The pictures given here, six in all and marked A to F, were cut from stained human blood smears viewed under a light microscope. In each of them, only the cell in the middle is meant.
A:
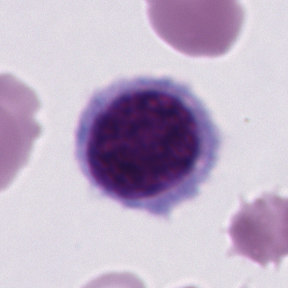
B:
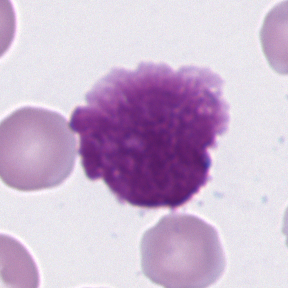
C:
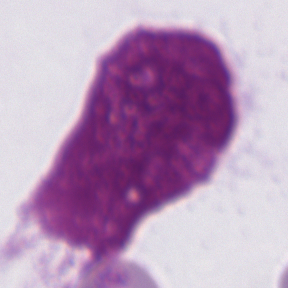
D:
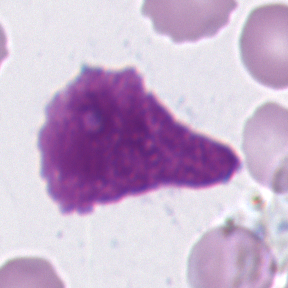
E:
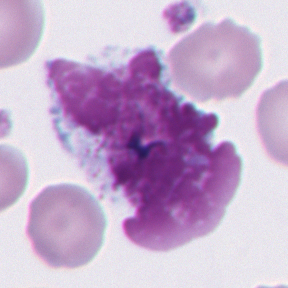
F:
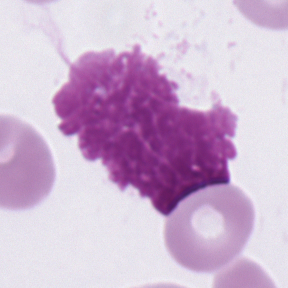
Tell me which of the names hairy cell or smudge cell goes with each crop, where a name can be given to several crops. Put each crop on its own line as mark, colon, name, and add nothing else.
A: hairy cell
B: smudge cell
C: smudge cell
D: smudge cell
E: smudge cell
F: smudge cell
